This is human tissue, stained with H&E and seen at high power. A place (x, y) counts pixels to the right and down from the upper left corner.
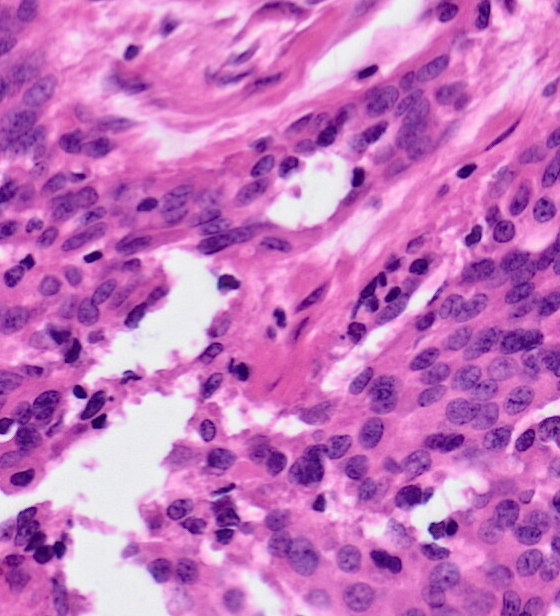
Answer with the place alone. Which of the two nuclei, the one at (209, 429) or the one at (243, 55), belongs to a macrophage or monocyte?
(209, 429)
